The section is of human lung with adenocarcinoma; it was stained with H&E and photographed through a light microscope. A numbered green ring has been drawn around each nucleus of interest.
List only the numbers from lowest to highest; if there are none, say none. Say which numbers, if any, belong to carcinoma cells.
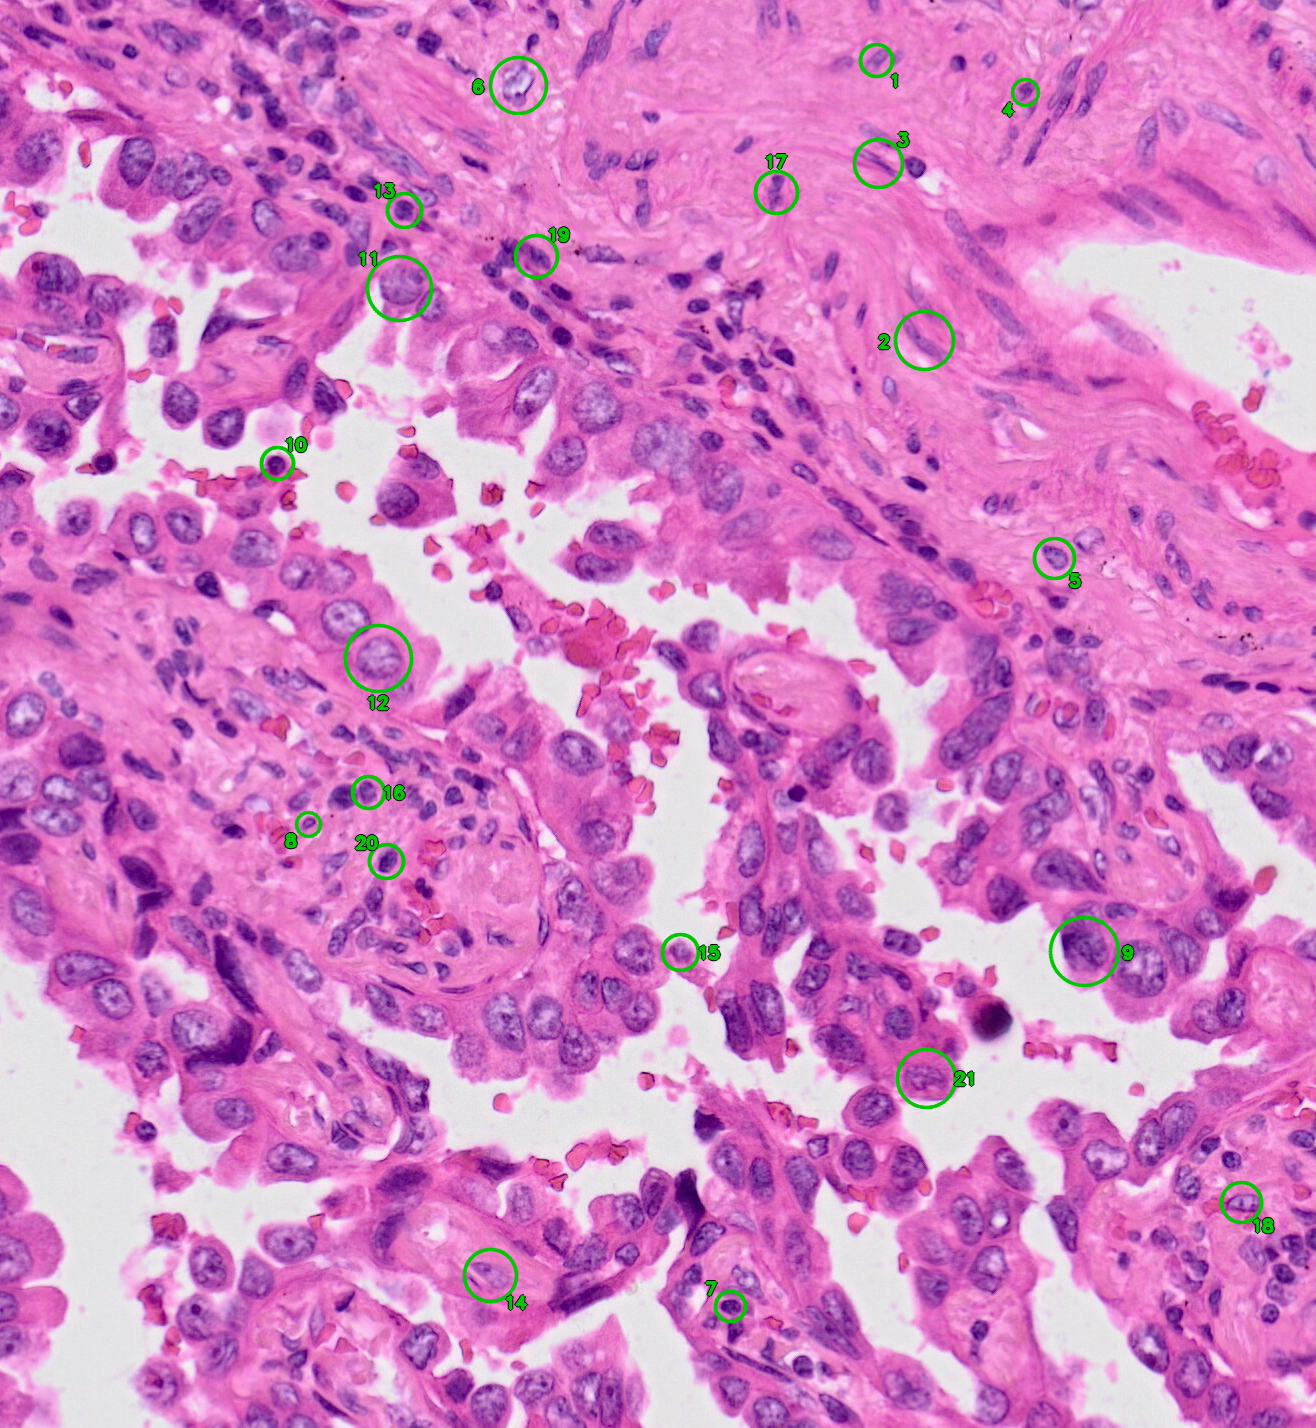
9, 11, 12, 21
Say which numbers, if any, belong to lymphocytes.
7, 8, 10, 13, 16, 20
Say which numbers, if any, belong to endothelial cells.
18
